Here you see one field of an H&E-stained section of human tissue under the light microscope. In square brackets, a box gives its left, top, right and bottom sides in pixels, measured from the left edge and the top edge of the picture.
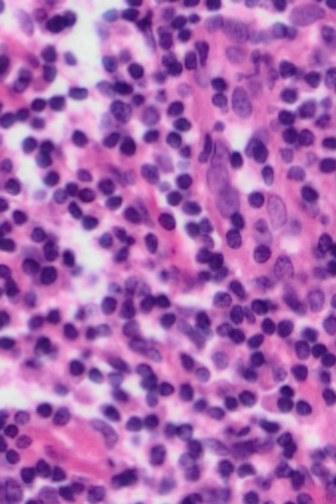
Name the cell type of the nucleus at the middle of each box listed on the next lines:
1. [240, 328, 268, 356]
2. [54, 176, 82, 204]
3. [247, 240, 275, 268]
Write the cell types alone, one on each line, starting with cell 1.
small lymphocyte
small lymphocyte
endothelial cell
